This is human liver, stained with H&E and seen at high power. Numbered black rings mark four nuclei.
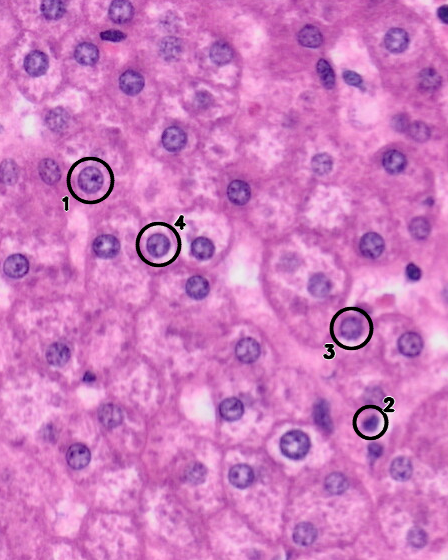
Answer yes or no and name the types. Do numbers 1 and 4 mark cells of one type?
Yes, both are hepatocytes.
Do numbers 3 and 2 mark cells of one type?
No, cell 3 is a hepatocyte and cell 2 is a lymphocyte.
